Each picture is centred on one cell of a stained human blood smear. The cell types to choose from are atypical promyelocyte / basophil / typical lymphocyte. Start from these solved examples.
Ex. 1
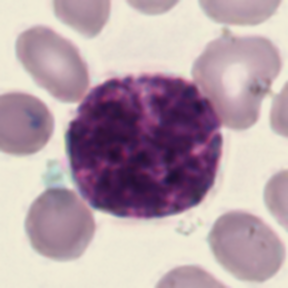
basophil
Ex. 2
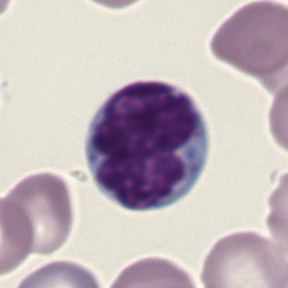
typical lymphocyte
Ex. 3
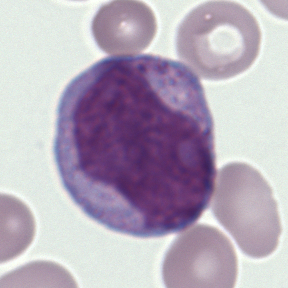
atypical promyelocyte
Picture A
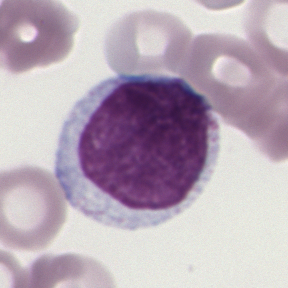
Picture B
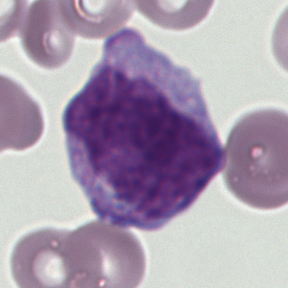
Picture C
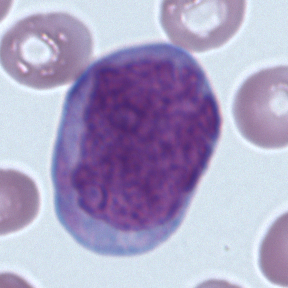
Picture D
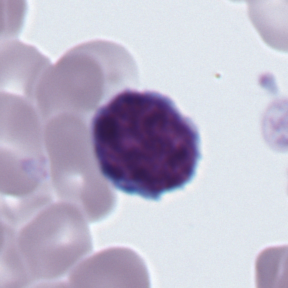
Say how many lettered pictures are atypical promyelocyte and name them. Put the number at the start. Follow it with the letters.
2, namely B, C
